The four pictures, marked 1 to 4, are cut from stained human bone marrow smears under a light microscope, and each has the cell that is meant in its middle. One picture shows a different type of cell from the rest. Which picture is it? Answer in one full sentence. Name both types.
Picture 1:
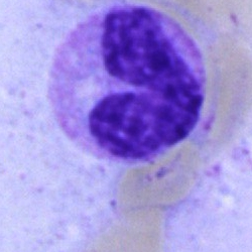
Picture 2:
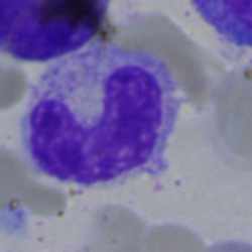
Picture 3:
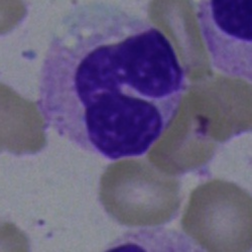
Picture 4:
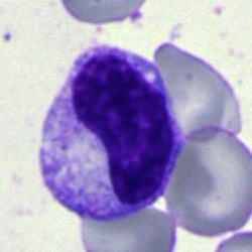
The different one is picture 4; it shows a metamyelocyte, whereas all the others show band neutrophils.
